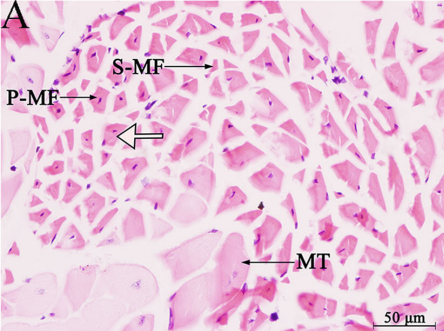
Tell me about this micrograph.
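This is a transverse section of skeletal muscle made up of many small, angular muscle fibers cut across. The pink fiber profiles are loosely arranged with wide pale spaces between them and are grouped into bundles. Small dark purple nuclei lie in or beside the fibers, and a few much larger fibers are seen at the lower edge of the field.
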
